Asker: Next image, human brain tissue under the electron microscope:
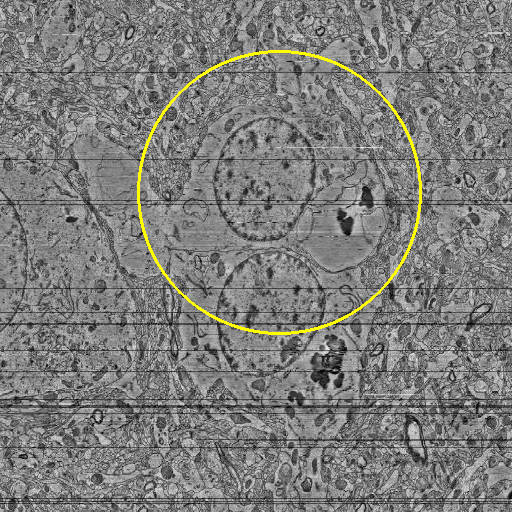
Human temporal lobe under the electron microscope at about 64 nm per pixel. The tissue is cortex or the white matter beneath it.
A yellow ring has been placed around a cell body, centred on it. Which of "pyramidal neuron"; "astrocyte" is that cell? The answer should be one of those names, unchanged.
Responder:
astrocyte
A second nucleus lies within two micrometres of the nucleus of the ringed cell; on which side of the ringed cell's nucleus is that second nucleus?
That other nucleus is below it.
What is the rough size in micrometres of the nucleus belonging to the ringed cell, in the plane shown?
The nucleus has a long axis of about 8 micrometres and a short axis of about 6 micrometres in this plane.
